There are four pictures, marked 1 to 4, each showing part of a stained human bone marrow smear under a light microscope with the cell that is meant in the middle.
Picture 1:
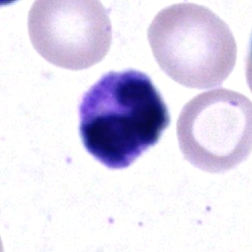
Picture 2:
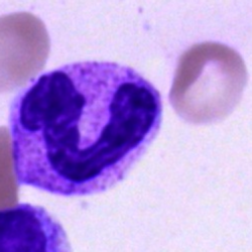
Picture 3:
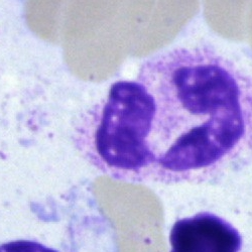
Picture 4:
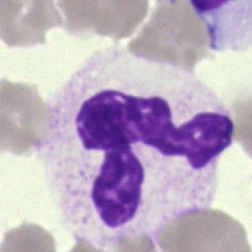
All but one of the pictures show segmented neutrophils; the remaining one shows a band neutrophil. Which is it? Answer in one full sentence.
Picture 2 is the one that shows the band neutrophil.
